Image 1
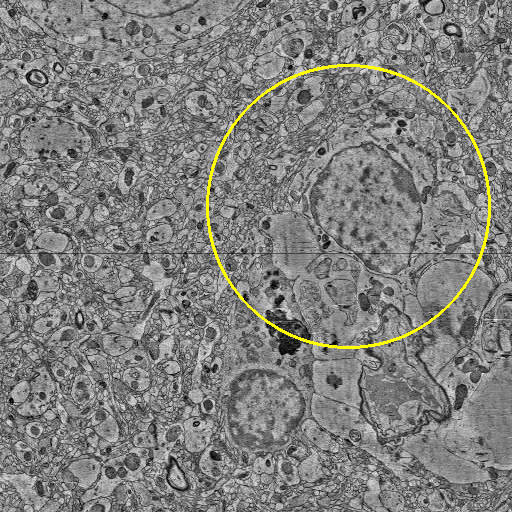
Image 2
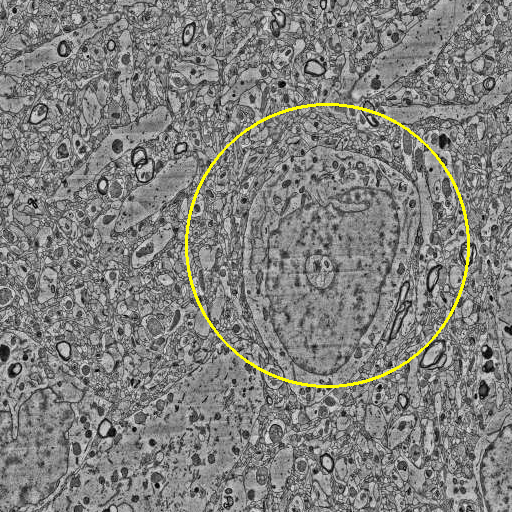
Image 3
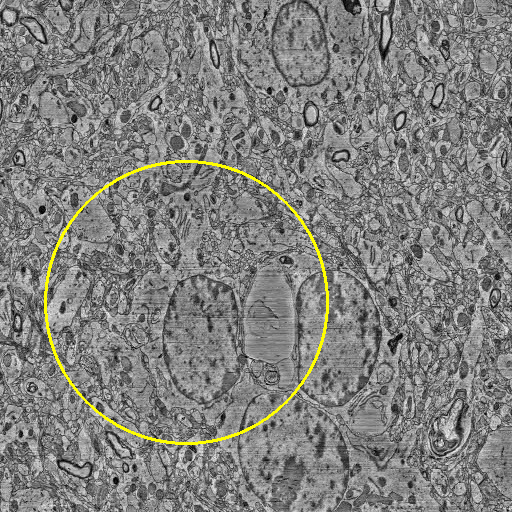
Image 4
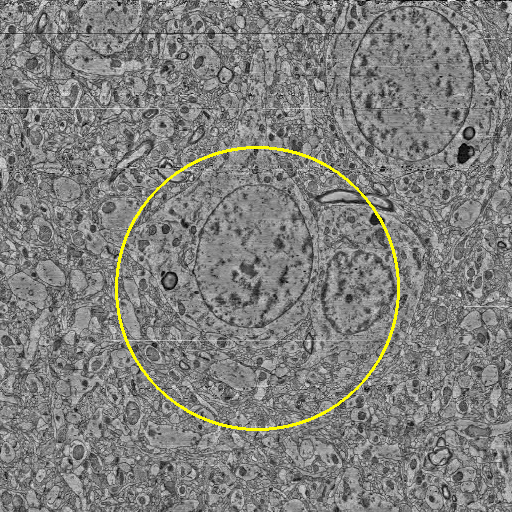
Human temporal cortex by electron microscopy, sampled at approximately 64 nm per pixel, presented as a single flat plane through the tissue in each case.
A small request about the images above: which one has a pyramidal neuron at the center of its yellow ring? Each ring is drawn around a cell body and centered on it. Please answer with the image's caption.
Image 4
